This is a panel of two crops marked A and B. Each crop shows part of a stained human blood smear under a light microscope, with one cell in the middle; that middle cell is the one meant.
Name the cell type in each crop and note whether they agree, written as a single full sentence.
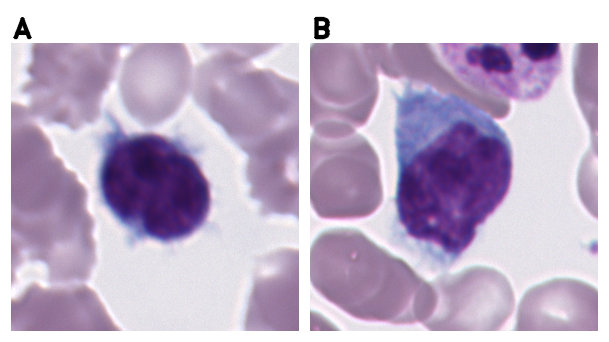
No; crop A is a hairy cell, while crop B is a monocyte.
